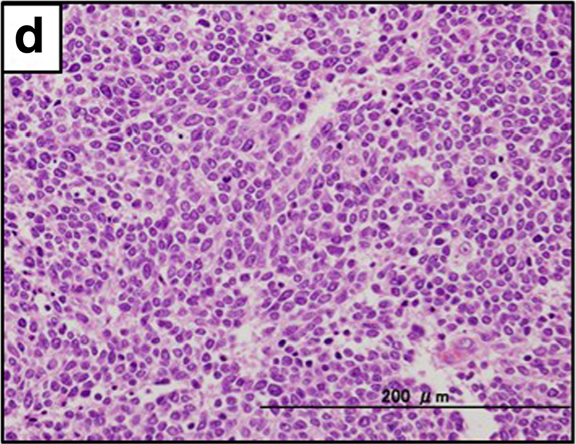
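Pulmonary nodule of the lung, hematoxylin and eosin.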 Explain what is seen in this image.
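The cells are crowded together and fill the field without forming glands or other organized structures. Their nuclei are round to oval and stain purple, with finely granular chromatin. Each cell has only a thin rim of cytoplasm, so the nuclei appear to lie almost against one another. Only a few thin strands of pale stroma run between the cells.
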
